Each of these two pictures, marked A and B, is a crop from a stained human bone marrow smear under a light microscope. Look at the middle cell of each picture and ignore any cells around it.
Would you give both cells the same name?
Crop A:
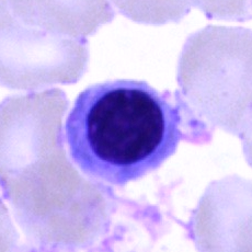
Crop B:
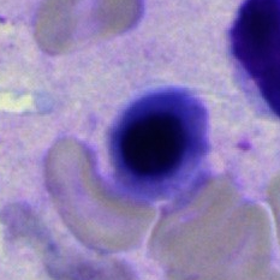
yes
